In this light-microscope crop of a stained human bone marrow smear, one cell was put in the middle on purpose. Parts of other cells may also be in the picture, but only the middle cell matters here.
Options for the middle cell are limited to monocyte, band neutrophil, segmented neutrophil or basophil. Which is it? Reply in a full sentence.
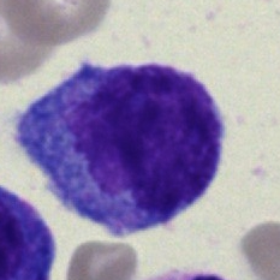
This crop is built around a monocyte at its centre.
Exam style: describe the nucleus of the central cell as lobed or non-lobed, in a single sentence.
One compact mass makes up the whole nucleus, round, oval or kidney-shaped.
